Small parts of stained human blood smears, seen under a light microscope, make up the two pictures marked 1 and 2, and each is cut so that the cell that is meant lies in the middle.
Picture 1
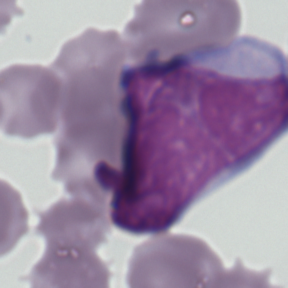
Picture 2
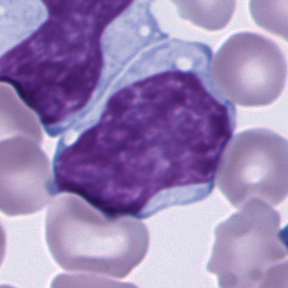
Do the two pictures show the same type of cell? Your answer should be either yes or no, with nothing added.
yes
